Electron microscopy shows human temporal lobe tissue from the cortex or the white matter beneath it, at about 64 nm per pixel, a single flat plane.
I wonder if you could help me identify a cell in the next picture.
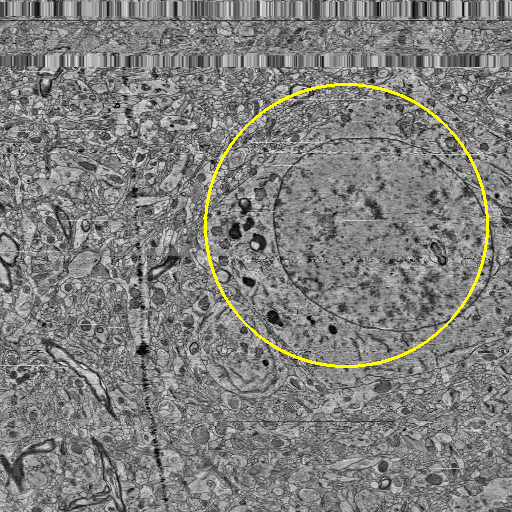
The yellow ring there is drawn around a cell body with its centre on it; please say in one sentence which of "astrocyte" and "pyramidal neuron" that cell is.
The yellow ring is centred on a pyramidal neuron.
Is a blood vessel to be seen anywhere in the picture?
No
